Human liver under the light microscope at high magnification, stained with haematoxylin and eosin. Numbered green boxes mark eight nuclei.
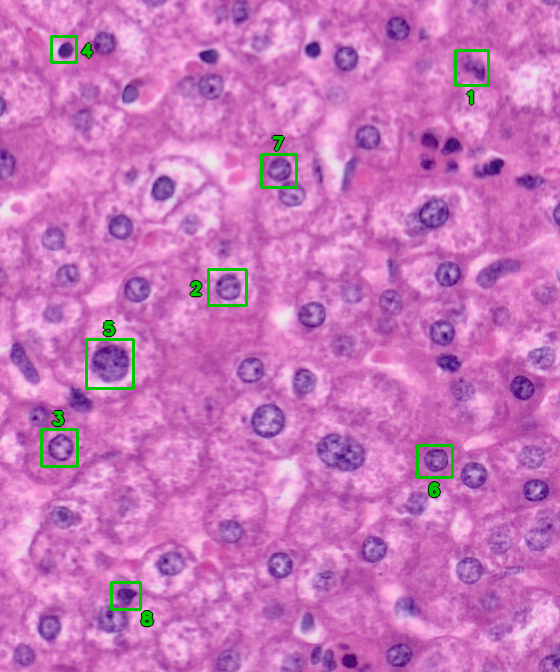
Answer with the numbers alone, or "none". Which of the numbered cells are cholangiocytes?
none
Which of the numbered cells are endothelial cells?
1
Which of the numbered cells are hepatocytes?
2, 3, 5, 6, 7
